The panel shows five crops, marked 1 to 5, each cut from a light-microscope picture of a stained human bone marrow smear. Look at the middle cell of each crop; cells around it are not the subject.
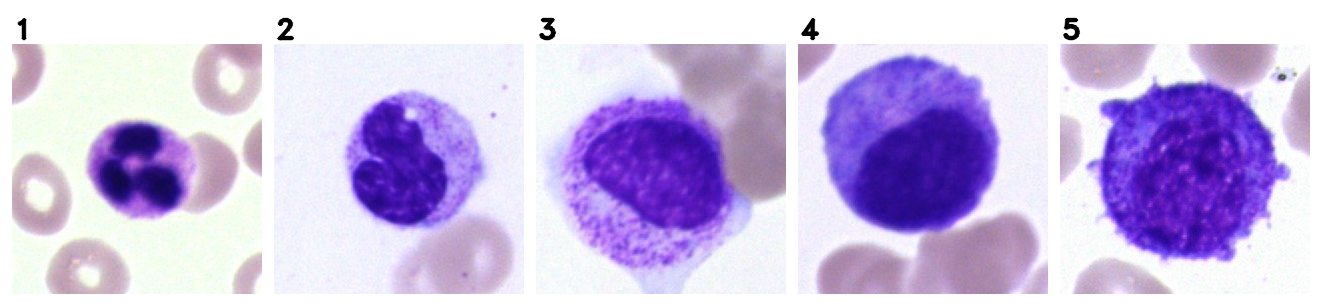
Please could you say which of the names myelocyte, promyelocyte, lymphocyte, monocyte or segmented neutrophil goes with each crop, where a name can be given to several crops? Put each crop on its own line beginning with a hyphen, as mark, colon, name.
- 1: segmented neutrophil
- 2: segmented neutrophil
- 3: myelocyte
- 4: promyelocyte
- 5: promyelocyte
